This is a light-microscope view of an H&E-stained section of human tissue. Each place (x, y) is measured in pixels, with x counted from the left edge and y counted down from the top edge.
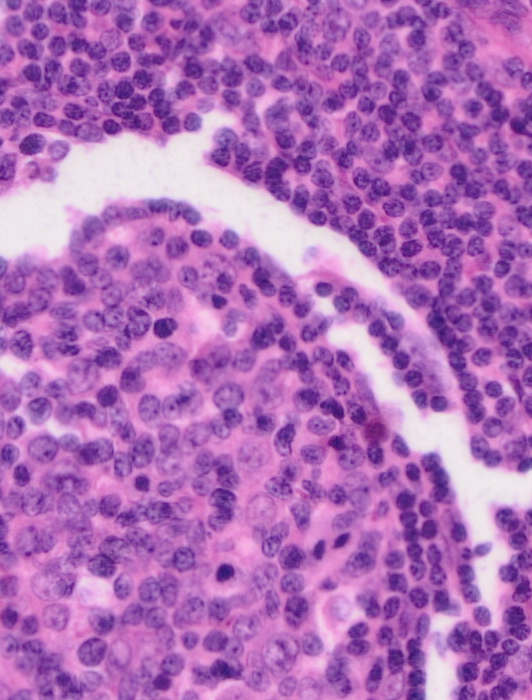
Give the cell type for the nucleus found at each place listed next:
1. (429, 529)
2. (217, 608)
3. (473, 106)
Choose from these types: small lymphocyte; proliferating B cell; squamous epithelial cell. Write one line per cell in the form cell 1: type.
cell 1: small lymphocyte
cell 2: proliferating B cell
cell 3: small lymphocyte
